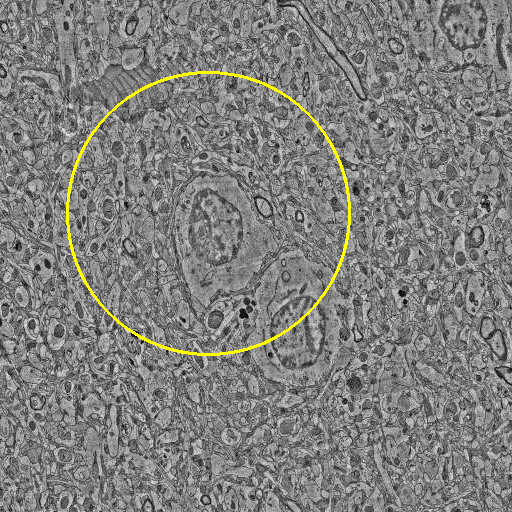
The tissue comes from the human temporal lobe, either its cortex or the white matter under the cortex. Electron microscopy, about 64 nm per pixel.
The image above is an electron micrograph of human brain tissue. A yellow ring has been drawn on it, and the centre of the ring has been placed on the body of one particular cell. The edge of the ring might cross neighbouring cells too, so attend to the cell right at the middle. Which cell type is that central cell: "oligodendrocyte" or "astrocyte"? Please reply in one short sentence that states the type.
The central cell in the ring is an astrocyte.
